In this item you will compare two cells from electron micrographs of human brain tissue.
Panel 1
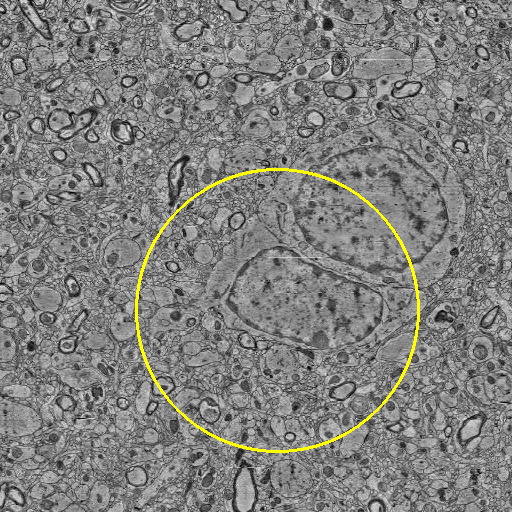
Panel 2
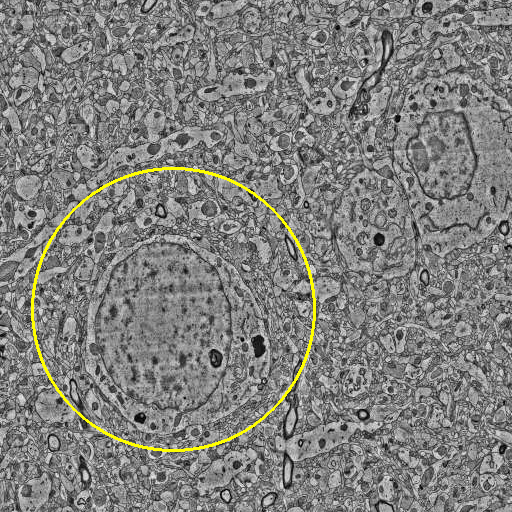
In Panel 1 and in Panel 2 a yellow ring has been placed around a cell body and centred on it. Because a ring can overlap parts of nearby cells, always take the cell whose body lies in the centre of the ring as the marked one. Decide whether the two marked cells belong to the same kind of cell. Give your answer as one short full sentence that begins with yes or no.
No, the two marked cells belong to two kinds of cell.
